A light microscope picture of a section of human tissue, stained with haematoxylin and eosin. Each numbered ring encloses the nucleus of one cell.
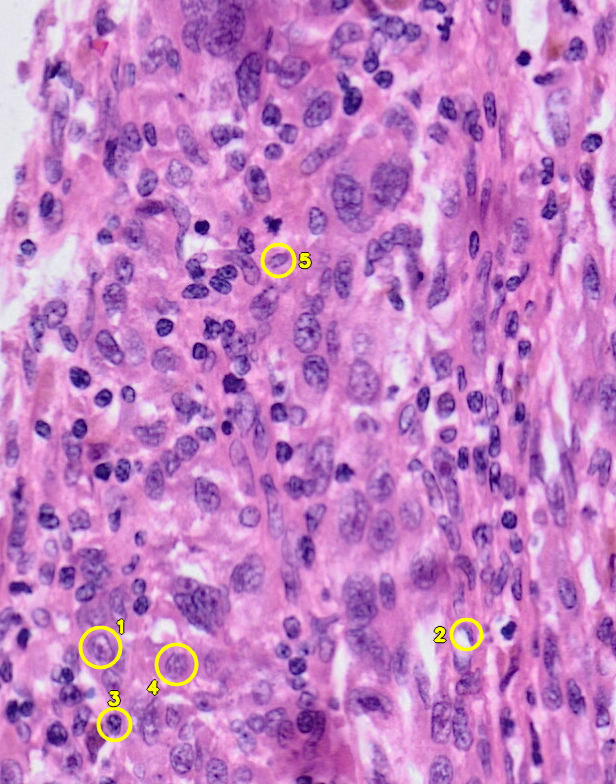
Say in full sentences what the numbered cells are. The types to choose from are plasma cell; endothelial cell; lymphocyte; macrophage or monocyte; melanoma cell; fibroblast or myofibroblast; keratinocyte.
Cell 1 is a melanoma cell, cell 2 is an endothelial cell, cell 3 is a lymphocyte, cell 4 is a melanoma cell and cell 5 is a macrophage or monocyte.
